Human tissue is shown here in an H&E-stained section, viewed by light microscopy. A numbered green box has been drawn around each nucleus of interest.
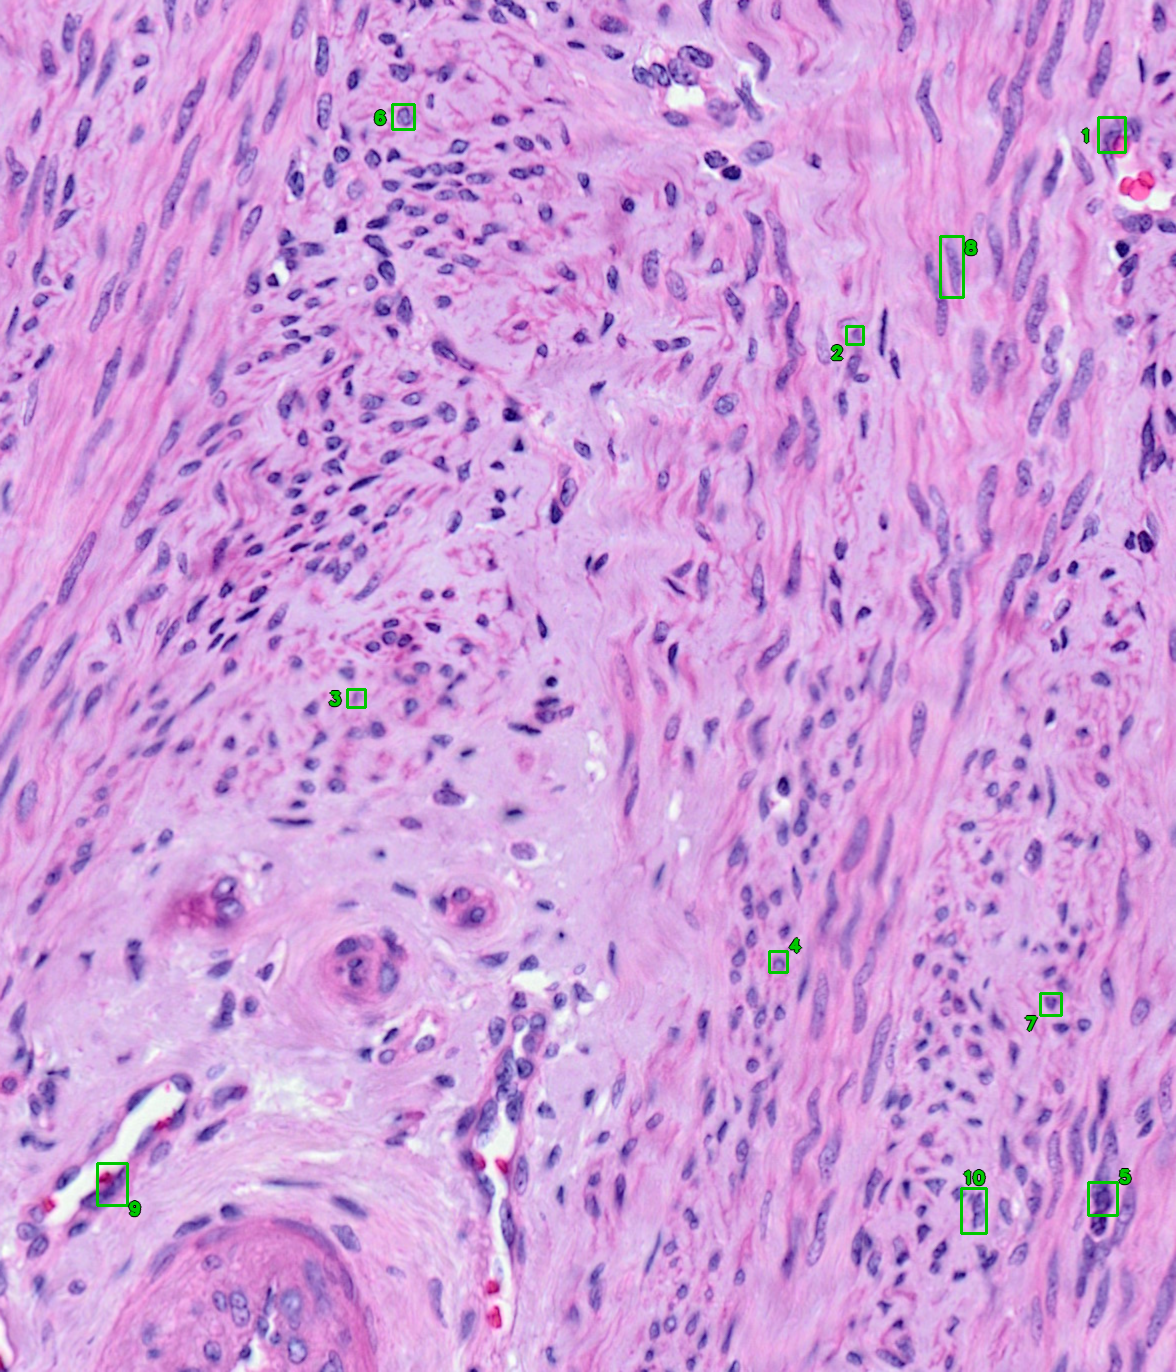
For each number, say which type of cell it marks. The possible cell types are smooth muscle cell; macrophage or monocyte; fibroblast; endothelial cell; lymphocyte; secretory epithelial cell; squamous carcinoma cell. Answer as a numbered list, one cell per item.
1. endothelial cell
2. smooth muscle cell
3. smooth muscle cell
4. smooth muscle cell
5. lymphocyte
6. smooth muscle cell
7. smooth muscle cell
8. smooth muscle cell
9. endothelial cell
10. fibroblast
